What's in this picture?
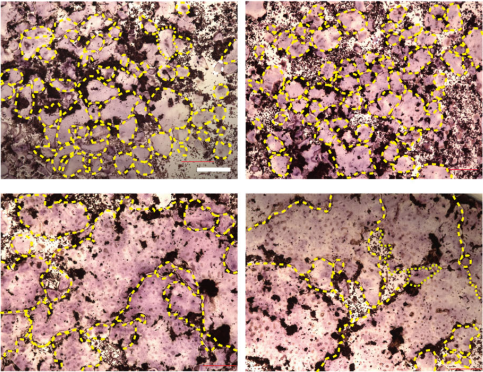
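The cells are large, flat and irregular in outline, lying side by side across the field. Dark granular debris lies in the spaces between them. In some fields the outlined cells are far larger and fewer than in others.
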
